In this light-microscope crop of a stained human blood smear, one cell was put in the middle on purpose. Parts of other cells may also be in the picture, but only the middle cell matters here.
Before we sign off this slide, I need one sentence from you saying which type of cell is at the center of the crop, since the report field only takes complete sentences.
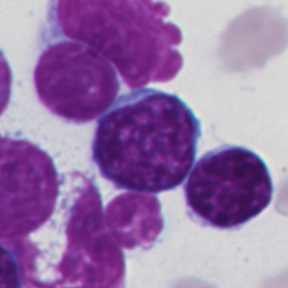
The cell in the exact centre of the crop is a myeloblast.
